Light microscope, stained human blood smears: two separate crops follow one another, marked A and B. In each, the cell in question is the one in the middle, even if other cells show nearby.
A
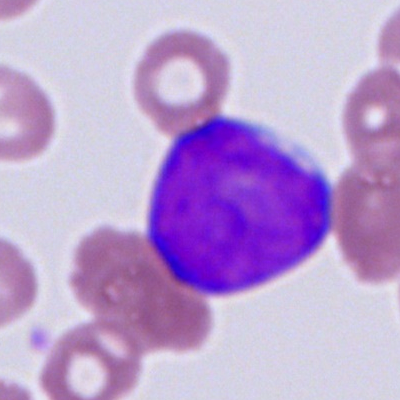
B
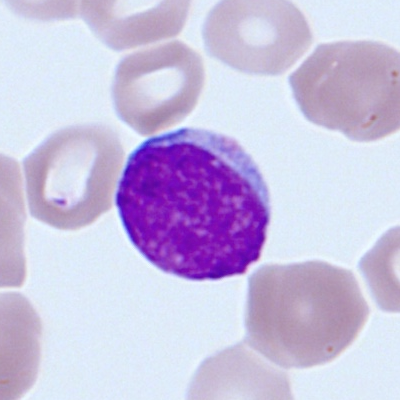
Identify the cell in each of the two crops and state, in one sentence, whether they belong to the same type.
No, crop A shows a myeloblast and crop B shows a lymphocyte.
